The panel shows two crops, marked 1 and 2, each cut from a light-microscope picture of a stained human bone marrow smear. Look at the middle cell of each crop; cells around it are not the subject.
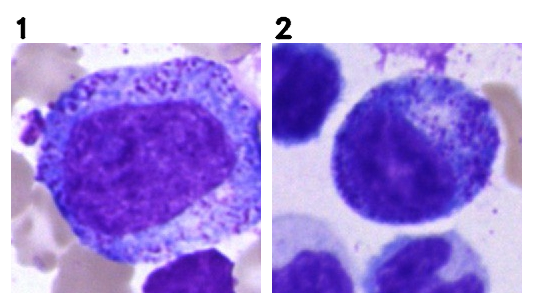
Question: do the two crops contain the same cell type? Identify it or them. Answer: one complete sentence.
Yes, both crops show promyelocytes, the one and the other.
